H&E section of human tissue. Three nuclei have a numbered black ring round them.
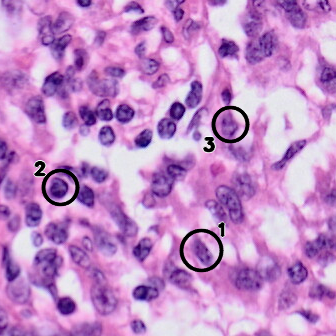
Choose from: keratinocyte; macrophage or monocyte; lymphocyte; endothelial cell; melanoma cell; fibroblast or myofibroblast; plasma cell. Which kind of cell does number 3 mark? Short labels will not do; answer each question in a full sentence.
The cell bearing label 3 corresponds to a melanoma cell.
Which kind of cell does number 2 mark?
The numbered cell 2 is identified here as a lymphocyte.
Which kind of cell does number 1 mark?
The cell carrying label 1 is identified as a melanoma cell.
